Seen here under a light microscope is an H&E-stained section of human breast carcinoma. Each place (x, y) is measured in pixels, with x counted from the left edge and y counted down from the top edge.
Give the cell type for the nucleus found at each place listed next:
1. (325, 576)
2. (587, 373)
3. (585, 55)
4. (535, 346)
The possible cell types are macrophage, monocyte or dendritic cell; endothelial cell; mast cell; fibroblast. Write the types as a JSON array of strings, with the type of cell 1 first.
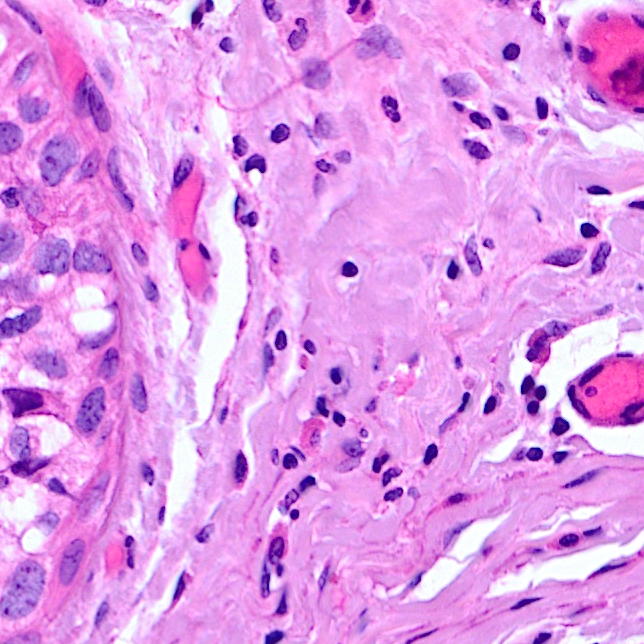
["fibroblast", "endothelial cell", "endothelial cell", "mast cell"]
